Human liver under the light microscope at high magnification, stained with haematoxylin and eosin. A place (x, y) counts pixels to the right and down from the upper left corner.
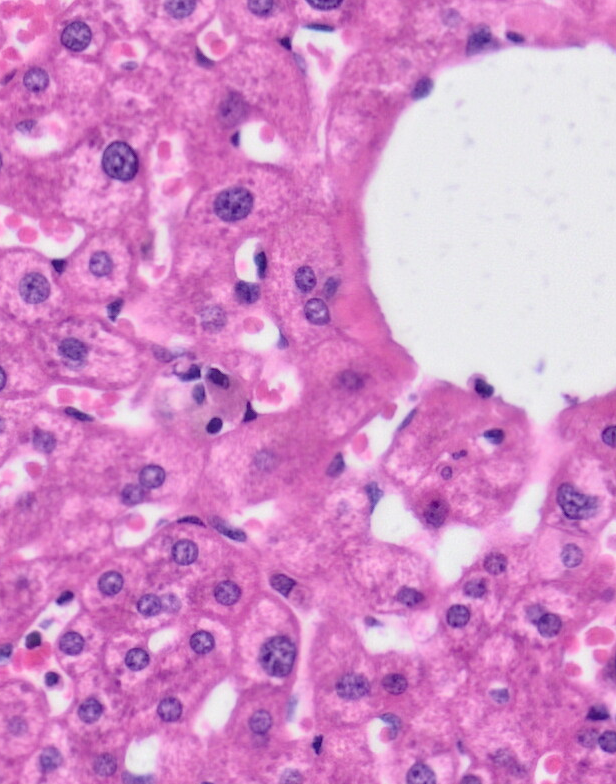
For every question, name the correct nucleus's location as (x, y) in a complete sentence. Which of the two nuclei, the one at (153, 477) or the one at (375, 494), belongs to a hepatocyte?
Of the two nuclei present, the one at (153, 477) is within a hepatocyte.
